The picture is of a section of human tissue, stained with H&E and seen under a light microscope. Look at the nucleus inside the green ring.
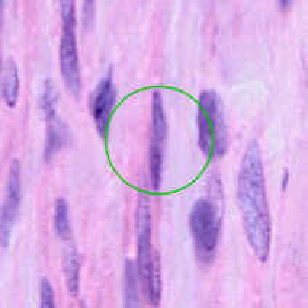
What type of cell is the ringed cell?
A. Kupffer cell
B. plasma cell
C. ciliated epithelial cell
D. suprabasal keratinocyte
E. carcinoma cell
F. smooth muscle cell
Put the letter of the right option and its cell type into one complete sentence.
Option F describes the ringed cell accurately as a smooth muscle cell.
